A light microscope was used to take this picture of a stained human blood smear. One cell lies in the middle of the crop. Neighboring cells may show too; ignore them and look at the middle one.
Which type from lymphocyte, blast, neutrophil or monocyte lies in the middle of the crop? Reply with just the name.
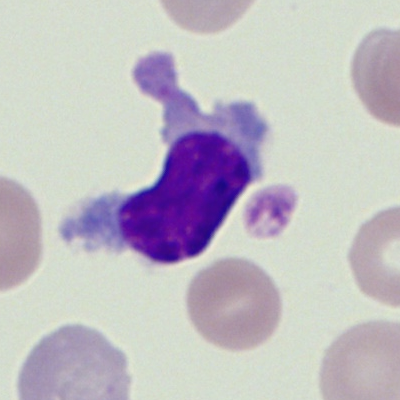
lymphocyte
